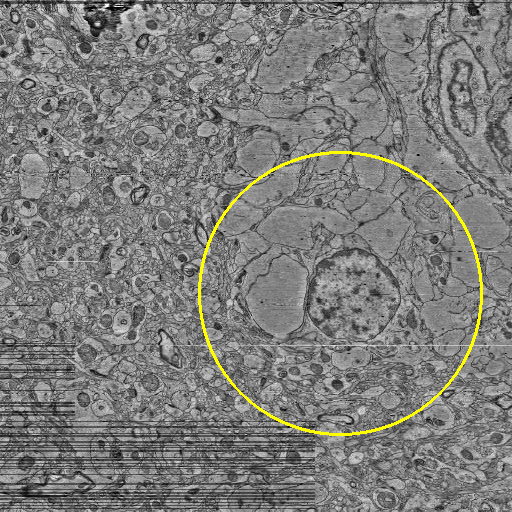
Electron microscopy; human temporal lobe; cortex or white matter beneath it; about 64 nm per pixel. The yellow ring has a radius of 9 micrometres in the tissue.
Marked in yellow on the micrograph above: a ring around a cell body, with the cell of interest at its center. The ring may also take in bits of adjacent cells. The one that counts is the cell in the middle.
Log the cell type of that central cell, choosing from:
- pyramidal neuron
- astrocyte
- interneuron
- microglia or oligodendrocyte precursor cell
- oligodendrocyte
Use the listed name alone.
microglia or oligodendrocyte precursor cell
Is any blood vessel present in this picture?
Yes, a blood vessel is present in this picture.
